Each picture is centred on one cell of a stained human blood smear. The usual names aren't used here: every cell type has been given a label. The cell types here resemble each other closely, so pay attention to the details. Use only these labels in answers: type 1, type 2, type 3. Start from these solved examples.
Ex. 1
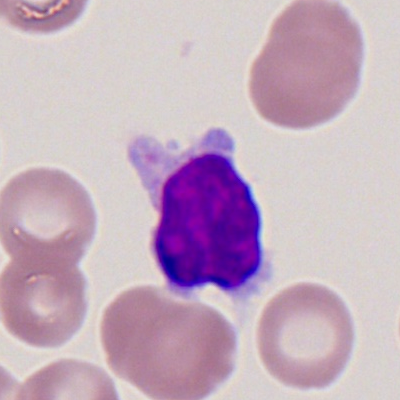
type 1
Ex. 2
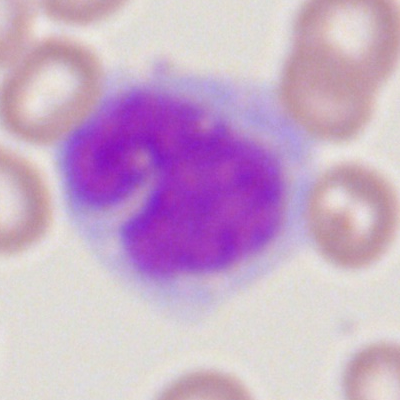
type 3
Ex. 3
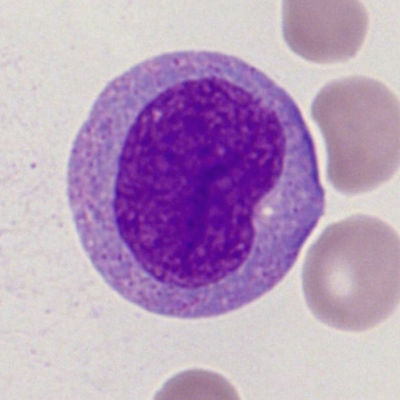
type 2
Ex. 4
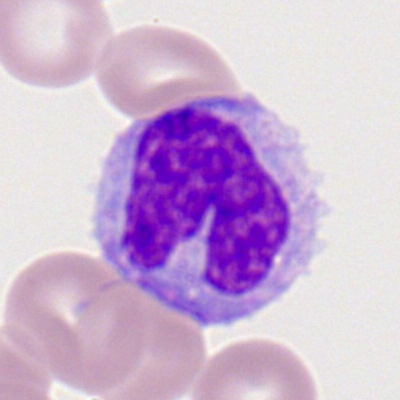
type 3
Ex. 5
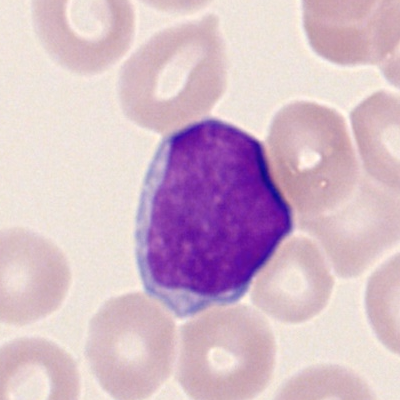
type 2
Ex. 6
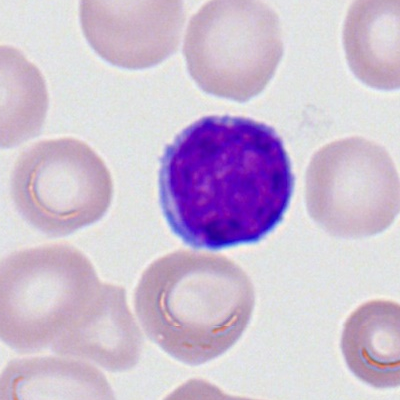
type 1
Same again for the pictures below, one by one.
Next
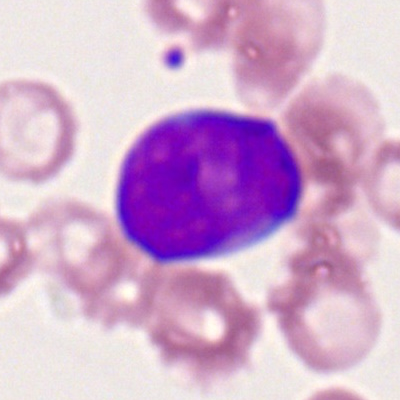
type 2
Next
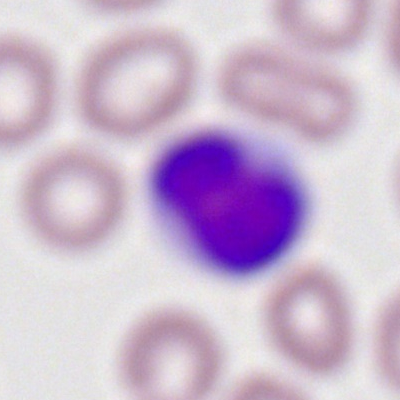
type 1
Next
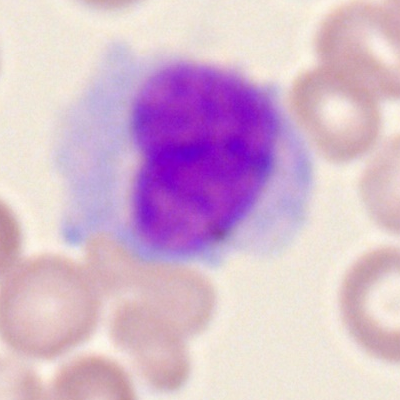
type 3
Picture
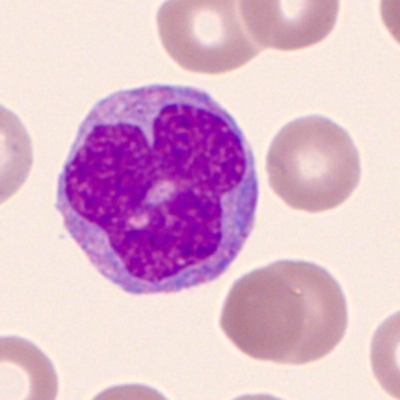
type 3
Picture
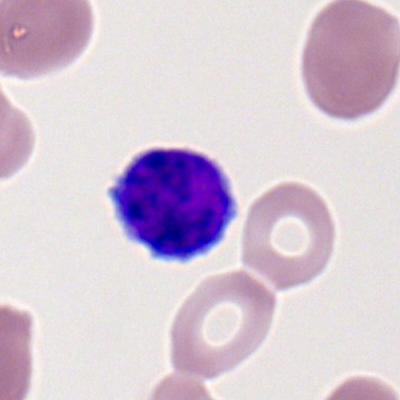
type 1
